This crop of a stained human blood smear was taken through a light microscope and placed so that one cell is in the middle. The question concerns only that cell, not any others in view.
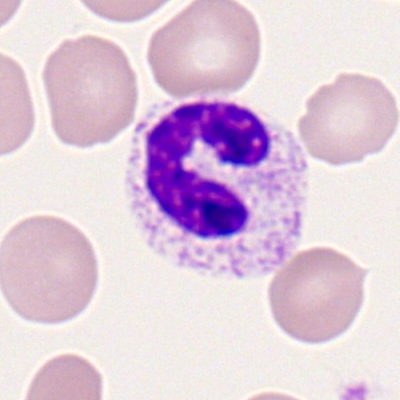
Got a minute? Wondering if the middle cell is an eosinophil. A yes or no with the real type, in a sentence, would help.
No, what is seen at the centre is a band neutrophil instead of an eosinophil.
